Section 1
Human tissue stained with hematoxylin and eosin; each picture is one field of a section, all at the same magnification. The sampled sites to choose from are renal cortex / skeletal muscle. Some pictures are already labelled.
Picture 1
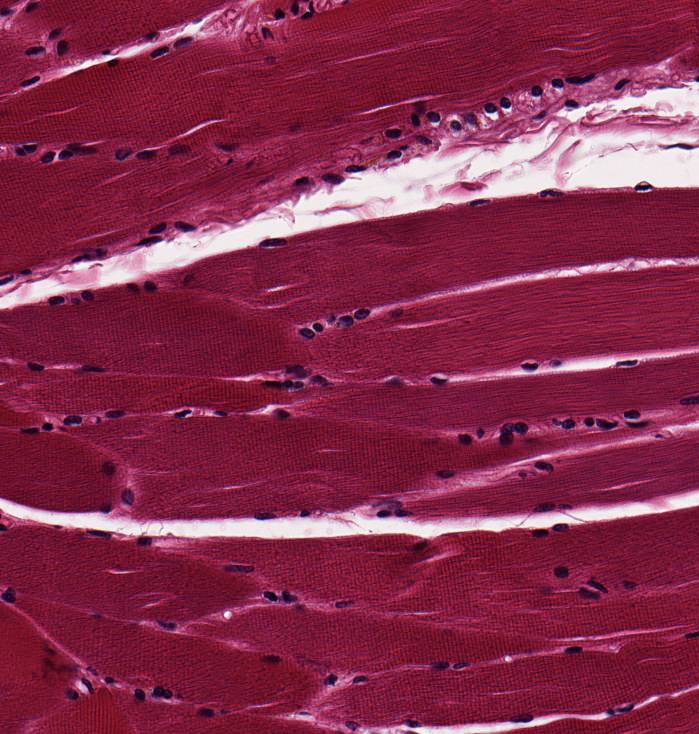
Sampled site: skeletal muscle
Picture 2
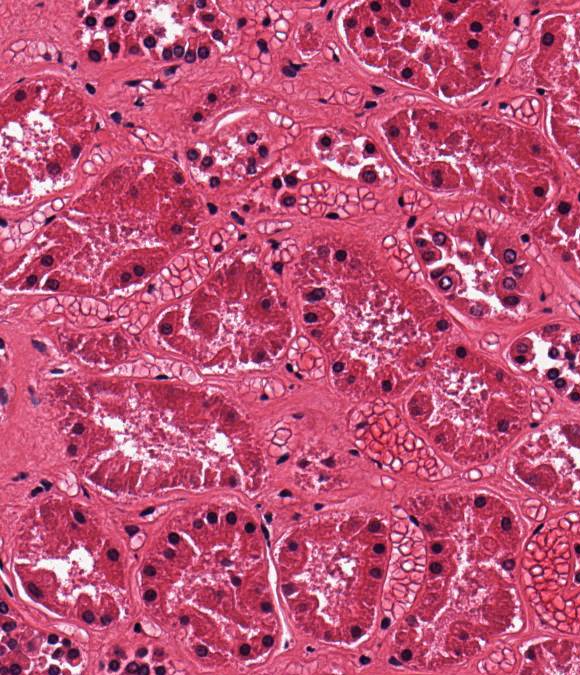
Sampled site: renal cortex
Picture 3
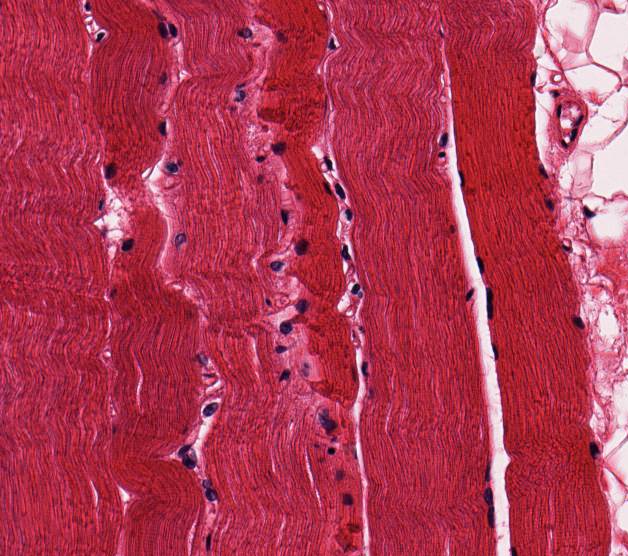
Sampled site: skeletal muscle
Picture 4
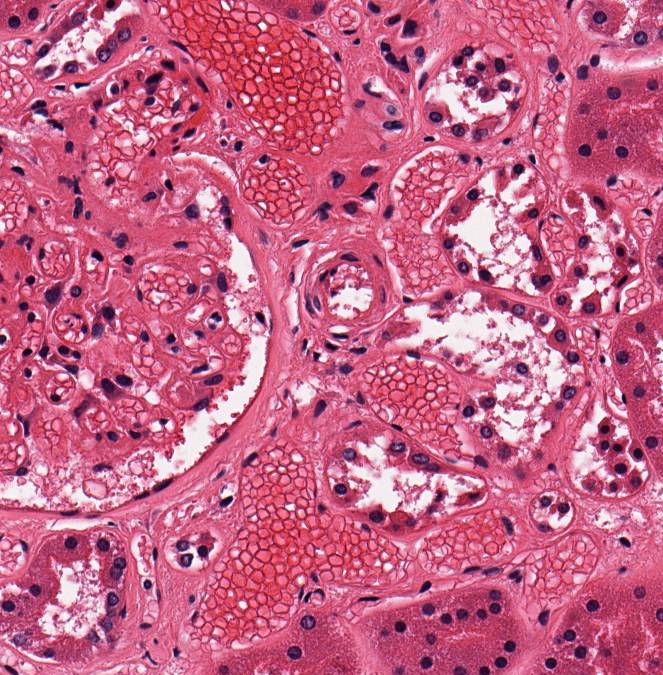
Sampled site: renal cortex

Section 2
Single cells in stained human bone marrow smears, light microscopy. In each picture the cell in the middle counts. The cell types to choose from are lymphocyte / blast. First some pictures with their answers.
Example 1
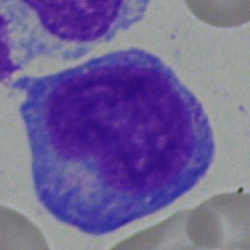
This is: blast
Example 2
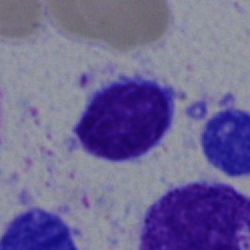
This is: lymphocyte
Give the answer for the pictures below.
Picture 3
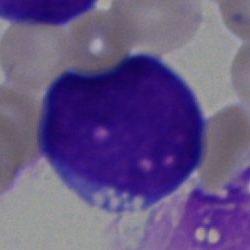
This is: blast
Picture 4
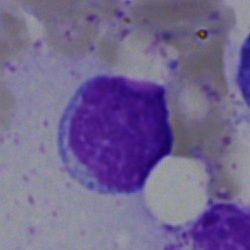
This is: lymphocyte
